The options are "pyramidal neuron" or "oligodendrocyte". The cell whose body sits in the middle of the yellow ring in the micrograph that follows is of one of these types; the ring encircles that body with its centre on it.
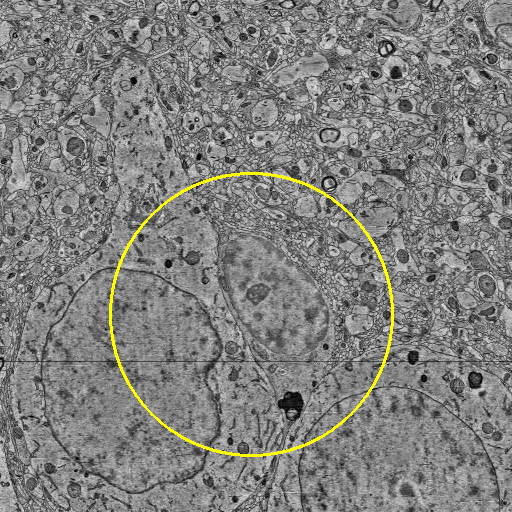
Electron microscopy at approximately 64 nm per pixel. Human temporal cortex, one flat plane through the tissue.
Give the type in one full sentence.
Going by the micrograph, the cell centred in the yellow ring is an oligodendrocyte.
